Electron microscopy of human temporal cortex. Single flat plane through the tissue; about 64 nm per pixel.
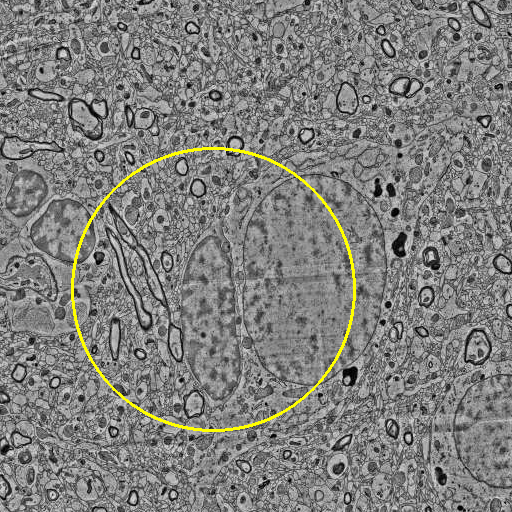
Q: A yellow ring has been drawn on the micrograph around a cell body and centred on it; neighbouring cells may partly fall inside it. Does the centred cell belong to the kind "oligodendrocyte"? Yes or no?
Yes, it belongs to that kind.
